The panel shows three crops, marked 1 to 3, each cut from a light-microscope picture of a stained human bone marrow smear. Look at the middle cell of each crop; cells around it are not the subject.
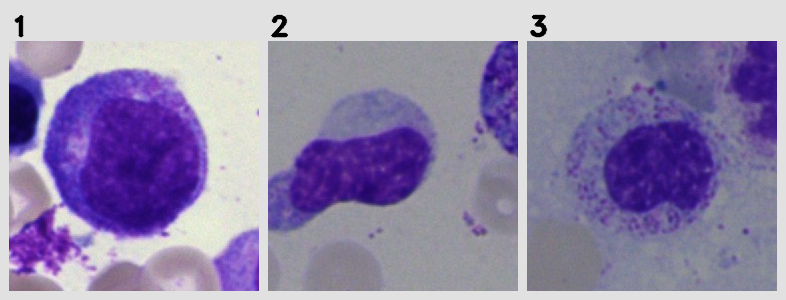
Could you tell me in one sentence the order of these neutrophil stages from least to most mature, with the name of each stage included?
Counting from the least mature up to the most mature, the order is crop 1 (a myelocyte), crop 3 (a metamyelocyte) and crop 2 (a band neutrophil).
